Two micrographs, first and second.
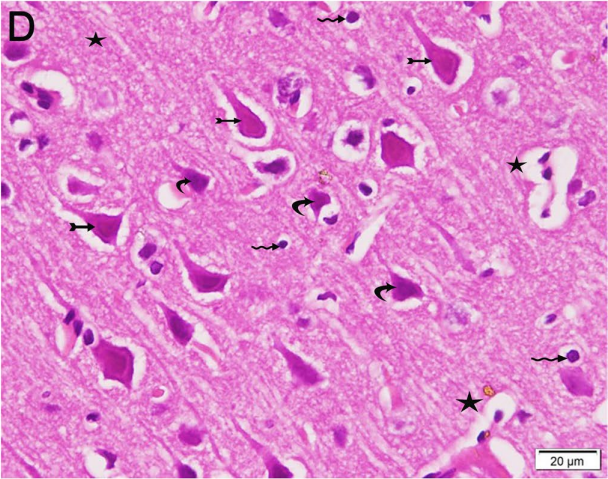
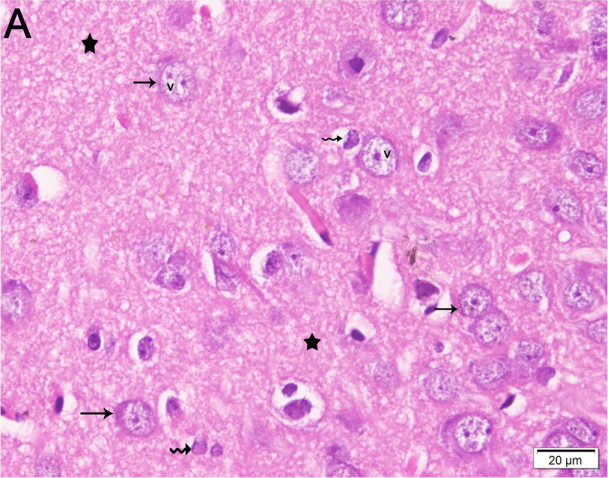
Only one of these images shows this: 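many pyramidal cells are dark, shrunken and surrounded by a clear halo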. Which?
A: the first image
